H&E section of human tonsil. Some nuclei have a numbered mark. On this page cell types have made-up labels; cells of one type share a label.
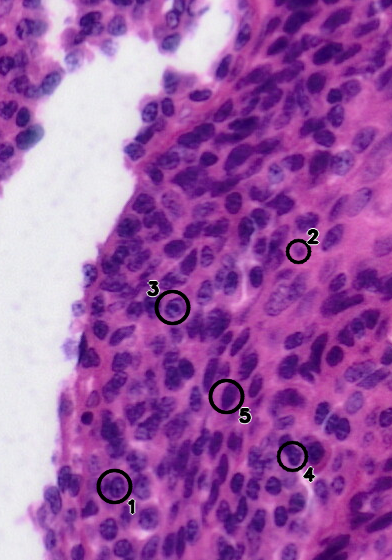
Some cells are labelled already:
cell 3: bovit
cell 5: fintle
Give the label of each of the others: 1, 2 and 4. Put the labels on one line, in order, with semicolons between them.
bovit; fintle; bovit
